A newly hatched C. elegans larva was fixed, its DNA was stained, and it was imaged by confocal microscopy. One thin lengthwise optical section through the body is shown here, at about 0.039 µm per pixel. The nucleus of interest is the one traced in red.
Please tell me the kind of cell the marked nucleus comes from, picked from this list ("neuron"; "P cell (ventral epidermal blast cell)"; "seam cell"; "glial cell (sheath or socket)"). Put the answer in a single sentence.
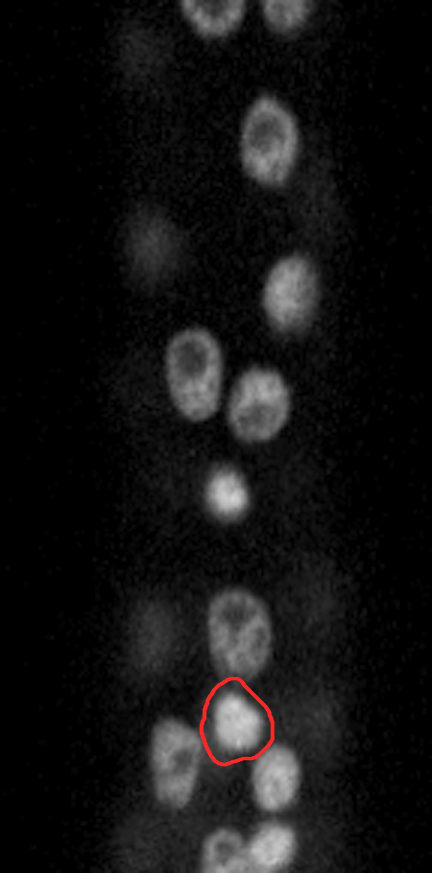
The marked cell is a glial cell (sheath or socket).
